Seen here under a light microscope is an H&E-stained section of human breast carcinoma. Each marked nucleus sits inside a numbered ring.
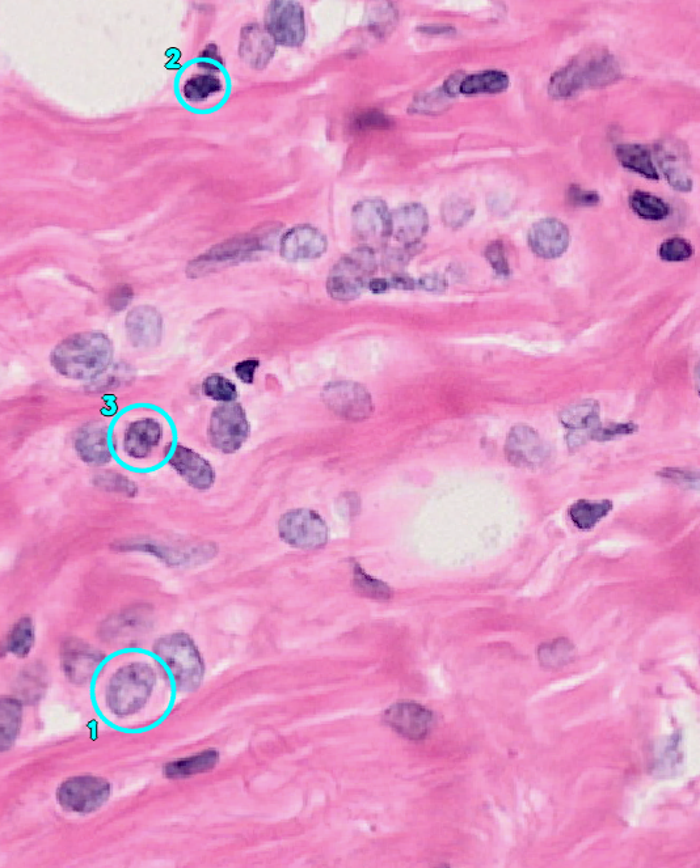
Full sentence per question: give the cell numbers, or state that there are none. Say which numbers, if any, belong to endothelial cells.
In this field, none of the numbered cells are endothelial cells.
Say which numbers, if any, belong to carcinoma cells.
Among the numbered cells, a carcinoma cell occurs only once, as cell 1.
